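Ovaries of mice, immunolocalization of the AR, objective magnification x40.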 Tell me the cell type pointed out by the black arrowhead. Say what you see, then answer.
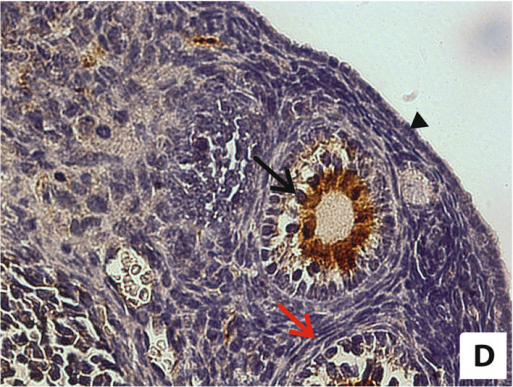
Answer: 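The arrowhead lies at the outer curved border of the organ. A thin single layer of cells covers the surface there. On this evidence: ovarian surface epithelium cells.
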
